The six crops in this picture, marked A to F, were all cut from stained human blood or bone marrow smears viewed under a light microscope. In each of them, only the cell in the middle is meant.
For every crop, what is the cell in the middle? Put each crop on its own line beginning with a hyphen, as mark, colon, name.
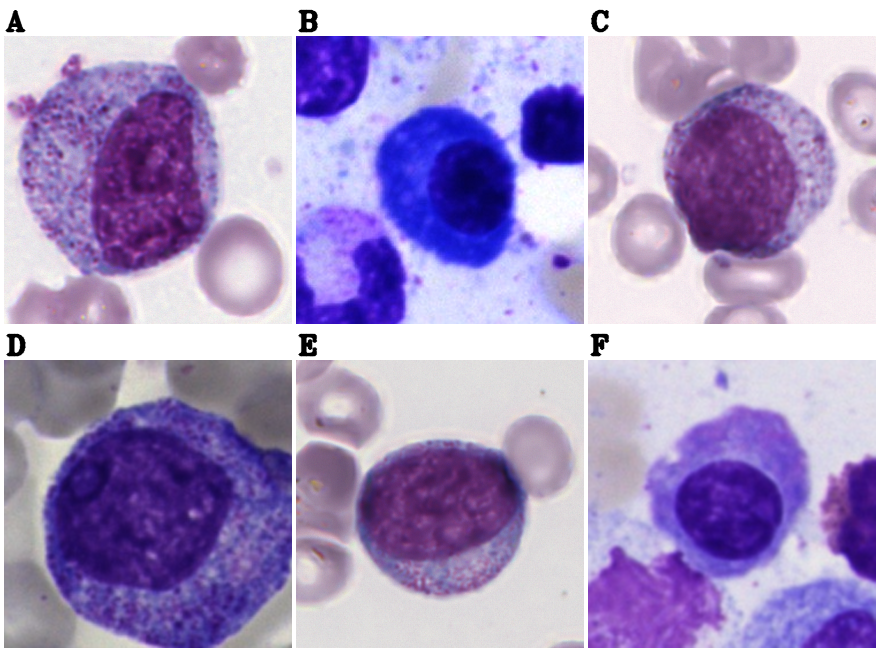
- A: promyelocyte
- B: plasma cell
- C: promyelocyte
- D: promyelocyte
- E: promyelocyte
- F: plasma cell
